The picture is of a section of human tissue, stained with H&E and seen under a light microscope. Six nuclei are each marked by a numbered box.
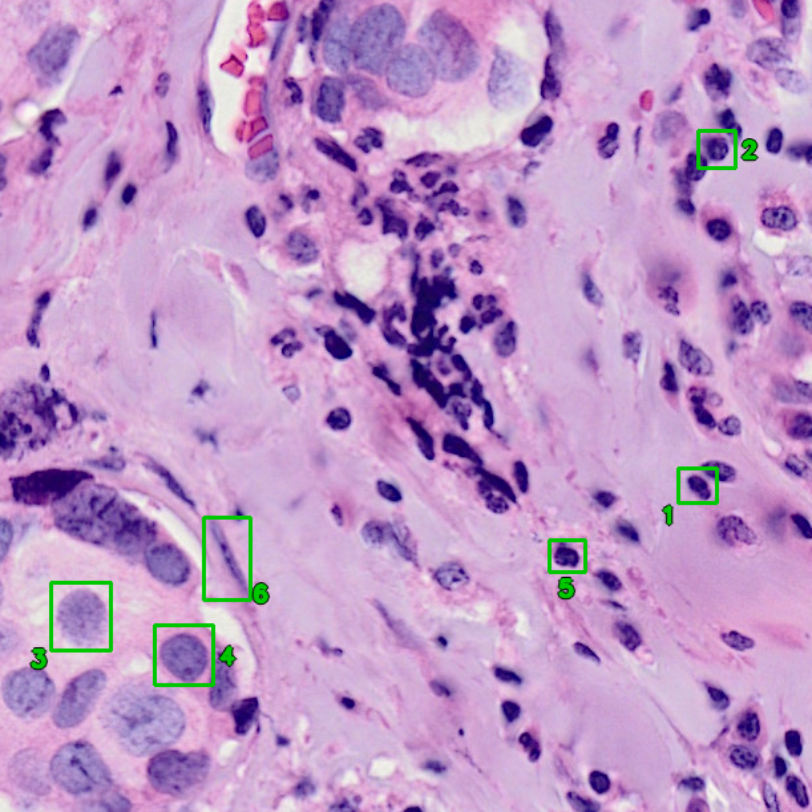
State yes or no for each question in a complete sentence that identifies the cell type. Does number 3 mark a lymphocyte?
No, a lymphocyte is not what cell 3 is; it is a carcinoma cell.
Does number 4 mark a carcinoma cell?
Yes, the cell at the mark numbered 4 is a carcinoma cell.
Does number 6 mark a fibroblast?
Yes, within this section, cell number 6 is a fibroblast.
